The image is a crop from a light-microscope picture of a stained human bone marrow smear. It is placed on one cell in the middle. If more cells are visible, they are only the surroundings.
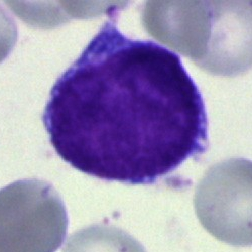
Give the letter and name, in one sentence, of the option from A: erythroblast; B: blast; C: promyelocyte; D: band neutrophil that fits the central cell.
Option B is correct in that the central cell is a blast.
